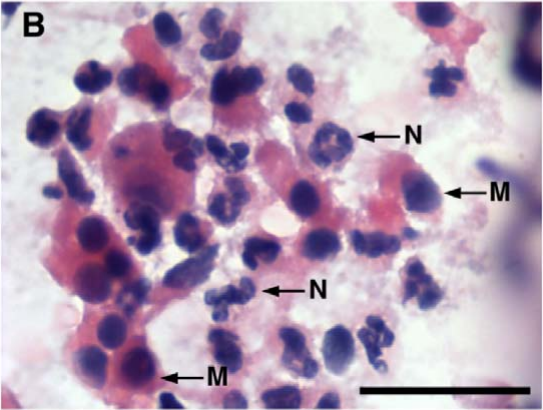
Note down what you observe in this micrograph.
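The neutrophils are small cells whose dark purple nuclei are split into several lobes, with little cytoplasm around them. The macrophages are larger cells with a single round, dark nucleus and a generous rim of pink cytoplasm. Some of these larger cells lie in a clump together. The cells lie loosely scattered on a pale background.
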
